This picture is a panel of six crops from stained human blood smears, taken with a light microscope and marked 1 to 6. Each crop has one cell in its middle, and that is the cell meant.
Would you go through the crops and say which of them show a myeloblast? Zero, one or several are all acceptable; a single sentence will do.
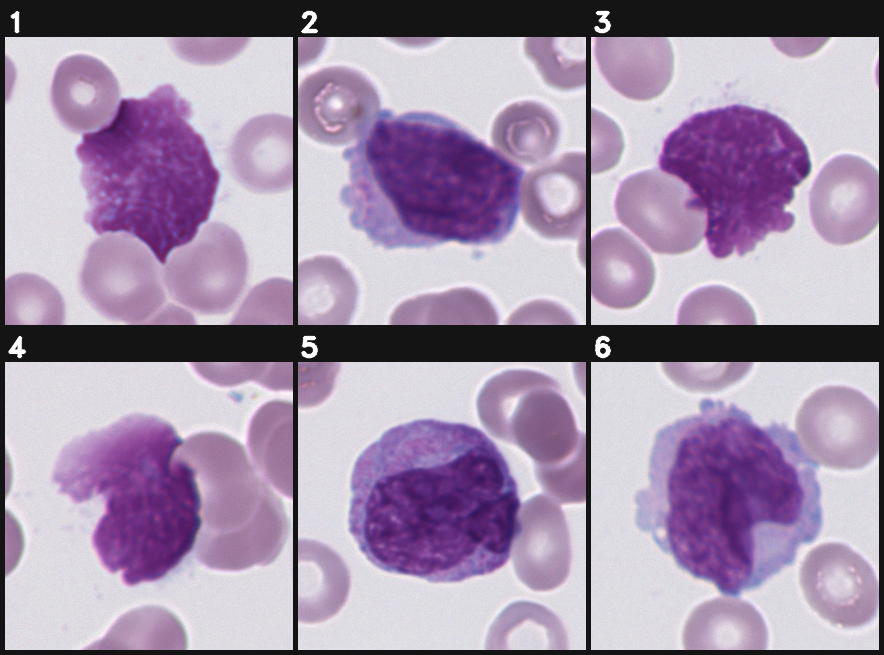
Each crop was checked, and none of them shows a myeloblast.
